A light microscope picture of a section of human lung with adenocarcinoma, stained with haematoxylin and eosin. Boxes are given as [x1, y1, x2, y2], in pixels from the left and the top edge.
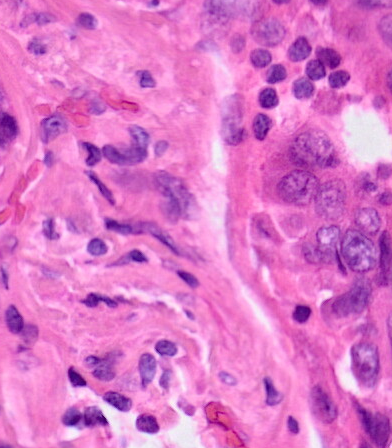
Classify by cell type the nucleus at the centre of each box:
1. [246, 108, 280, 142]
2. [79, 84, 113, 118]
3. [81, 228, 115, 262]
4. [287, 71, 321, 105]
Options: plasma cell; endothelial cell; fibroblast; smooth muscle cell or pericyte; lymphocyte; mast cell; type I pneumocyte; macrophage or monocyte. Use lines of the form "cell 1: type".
cell 1: lymphocyte
cell 2: endothelial cell
cell 3: lymphocyte
cell 4: lymphocyte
